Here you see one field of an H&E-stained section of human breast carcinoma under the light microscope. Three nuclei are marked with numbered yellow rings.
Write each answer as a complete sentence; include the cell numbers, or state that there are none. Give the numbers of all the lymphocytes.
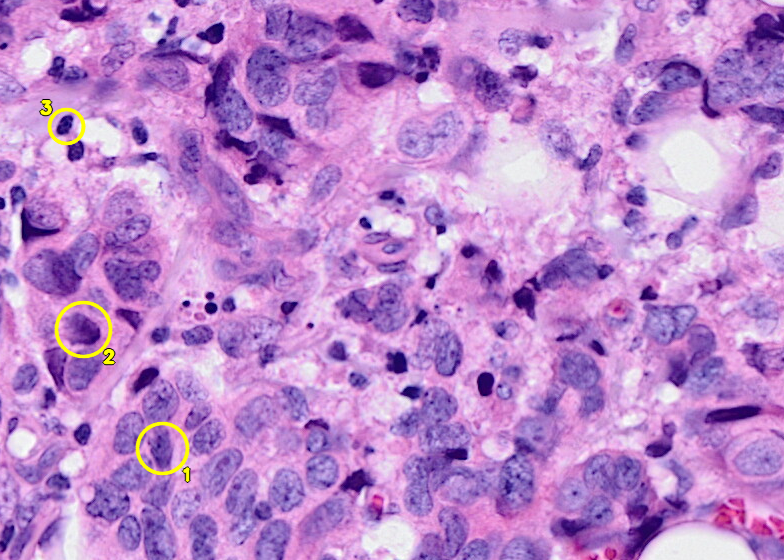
Cell 3 is a lymphocyte, and that holds for no other numbered cell.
